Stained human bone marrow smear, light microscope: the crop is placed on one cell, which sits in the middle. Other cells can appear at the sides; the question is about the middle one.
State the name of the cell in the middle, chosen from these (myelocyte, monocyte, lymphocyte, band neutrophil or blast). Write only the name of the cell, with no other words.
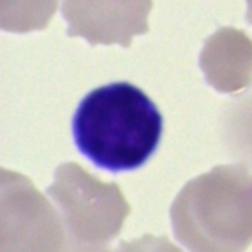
lymphocyte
